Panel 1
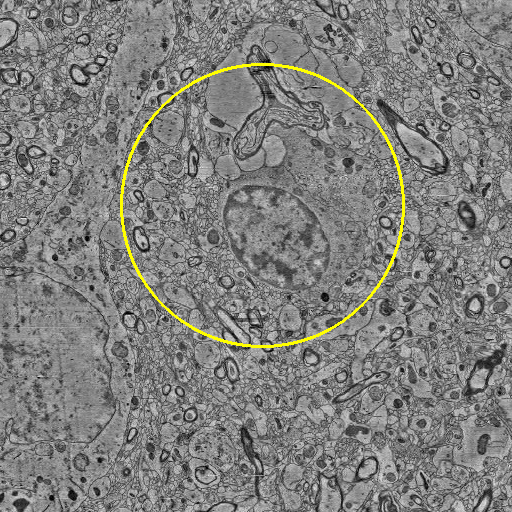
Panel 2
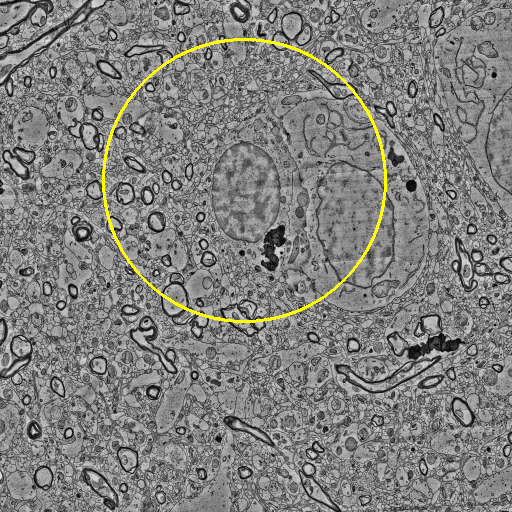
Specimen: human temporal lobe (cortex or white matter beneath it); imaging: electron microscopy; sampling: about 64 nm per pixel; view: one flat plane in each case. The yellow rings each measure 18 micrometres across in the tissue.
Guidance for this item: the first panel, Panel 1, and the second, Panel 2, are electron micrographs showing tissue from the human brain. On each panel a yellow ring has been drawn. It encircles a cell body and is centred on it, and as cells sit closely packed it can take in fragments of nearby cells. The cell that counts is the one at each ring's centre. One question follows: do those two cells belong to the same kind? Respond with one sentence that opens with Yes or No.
Yes, the cells at the ring centres in Panel 1 and Panel 2 are of one kind.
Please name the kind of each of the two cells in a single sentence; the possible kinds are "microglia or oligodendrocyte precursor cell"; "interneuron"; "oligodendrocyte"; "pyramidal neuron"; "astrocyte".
In both pictures the ring is centred on an oligodendrocyte.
